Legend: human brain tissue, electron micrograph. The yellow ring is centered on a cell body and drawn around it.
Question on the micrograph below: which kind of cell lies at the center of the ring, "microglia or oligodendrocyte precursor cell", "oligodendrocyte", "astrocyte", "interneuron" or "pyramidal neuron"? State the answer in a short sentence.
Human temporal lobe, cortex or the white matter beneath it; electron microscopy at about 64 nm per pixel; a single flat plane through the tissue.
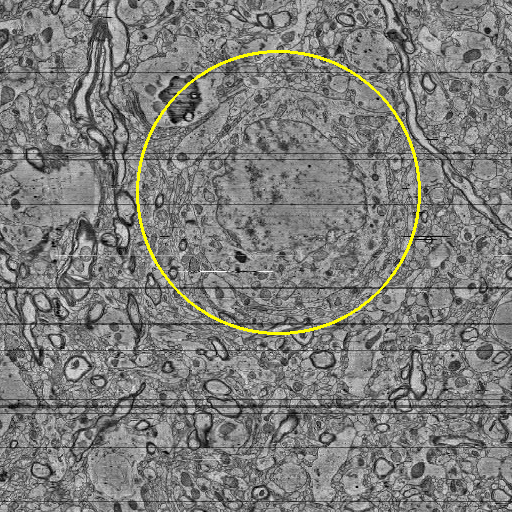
At the center of the ring lies a pyramidal neuron.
